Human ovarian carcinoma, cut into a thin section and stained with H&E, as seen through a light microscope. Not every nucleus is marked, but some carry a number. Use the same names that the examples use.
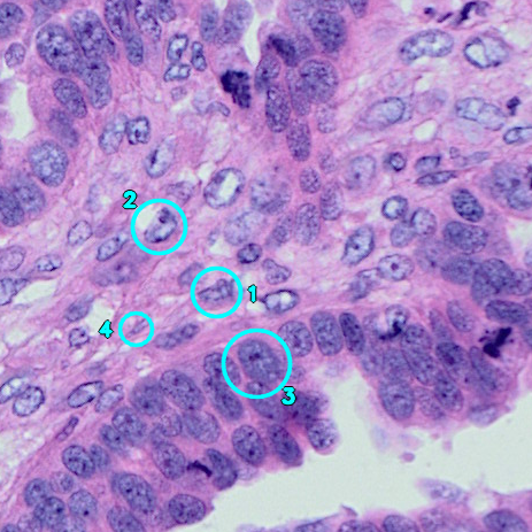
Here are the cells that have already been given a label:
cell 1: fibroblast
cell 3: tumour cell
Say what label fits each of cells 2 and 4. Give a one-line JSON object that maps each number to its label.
{"2": "fibroblast", "4": "fibroblast"}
